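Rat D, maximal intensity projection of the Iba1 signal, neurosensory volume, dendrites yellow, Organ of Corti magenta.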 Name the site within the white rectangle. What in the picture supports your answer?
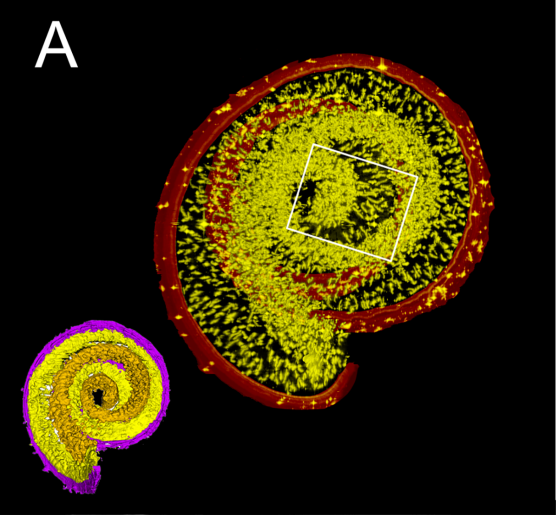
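Apical cochlear turn. The white rectangle lies at the centre of the spiral. The spiral's outer turns wind around the boxed region.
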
